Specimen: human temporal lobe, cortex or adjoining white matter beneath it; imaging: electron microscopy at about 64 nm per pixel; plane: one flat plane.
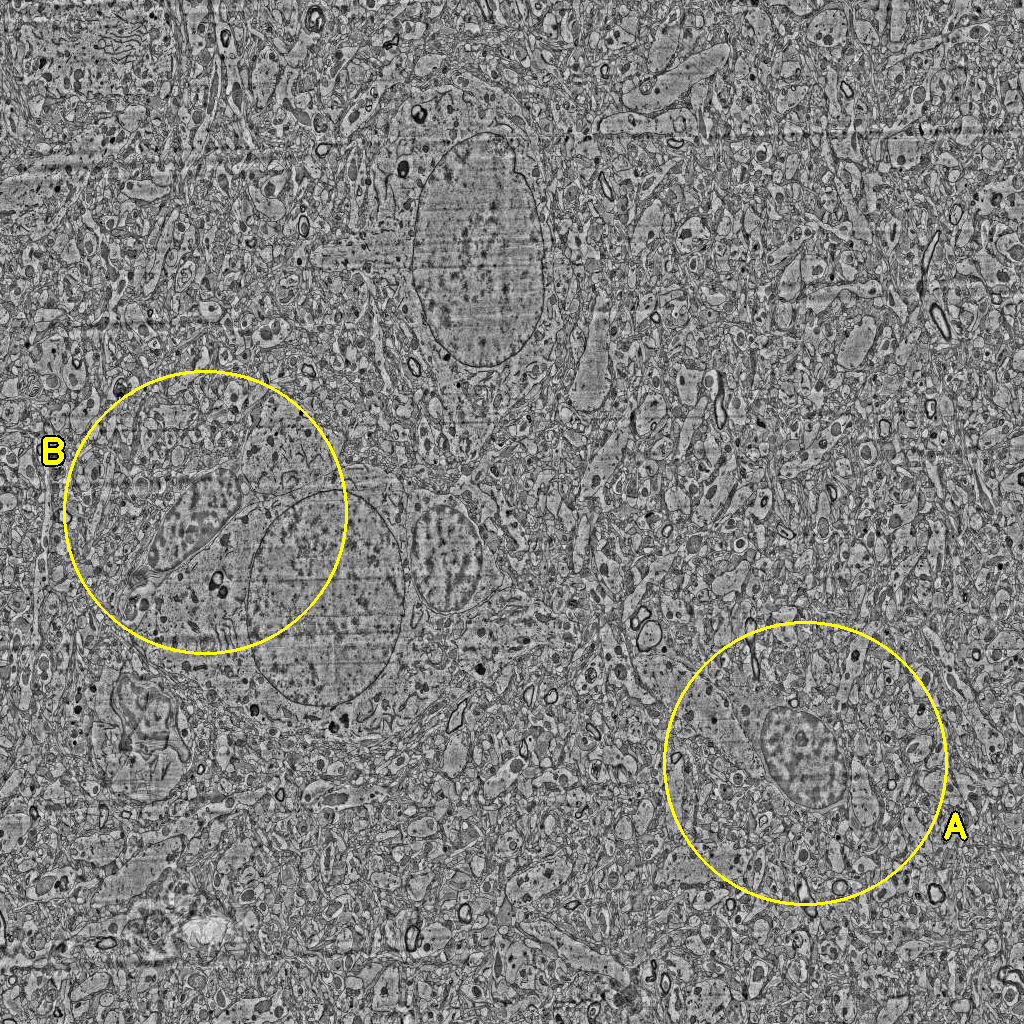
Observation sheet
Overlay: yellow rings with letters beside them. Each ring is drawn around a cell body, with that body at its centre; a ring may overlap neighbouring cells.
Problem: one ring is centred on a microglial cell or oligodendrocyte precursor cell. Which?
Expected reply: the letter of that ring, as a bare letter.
B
